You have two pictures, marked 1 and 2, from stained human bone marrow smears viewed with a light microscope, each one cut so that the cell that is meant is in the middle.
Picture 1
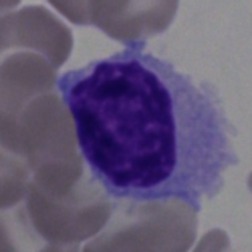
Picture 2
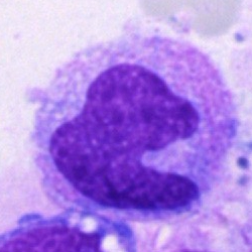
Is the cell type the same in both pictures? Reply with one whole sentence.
No, picture 1 shows a hairy cell and picture 2 shows a monocyte.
